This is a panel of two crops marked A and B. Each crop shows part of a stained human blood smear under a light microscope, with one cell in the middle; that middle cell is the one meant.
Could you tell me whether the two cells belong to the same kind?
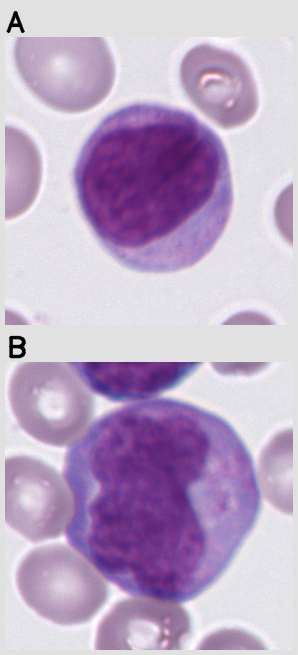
yes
